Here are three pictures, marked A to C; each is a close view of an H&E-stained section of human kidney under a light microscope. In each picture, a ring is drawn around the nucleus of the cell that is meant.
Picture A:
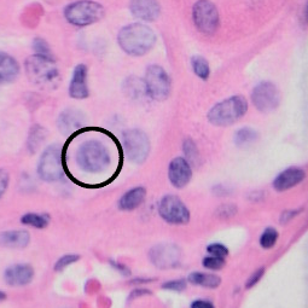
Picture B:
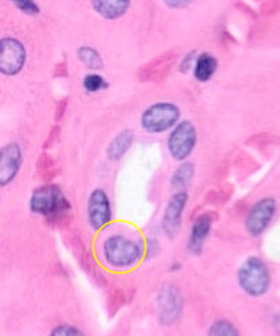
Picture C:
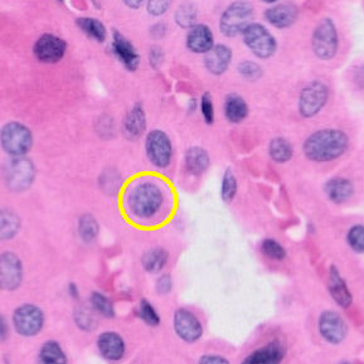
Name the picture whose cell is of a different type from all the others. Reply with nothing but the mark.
C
